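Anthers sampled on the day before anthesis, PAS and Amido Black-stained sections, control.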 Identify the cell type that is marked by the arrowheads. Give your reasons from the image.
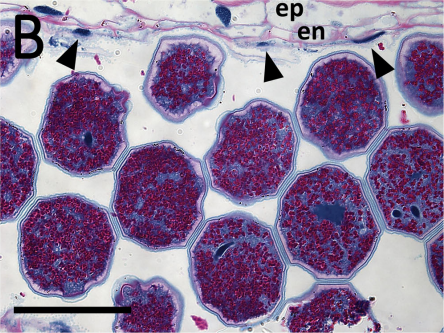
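Thin, flattened dark blue cells lie along the inner face of the anther wall. They are directly adjacent to the grain-filled locule.
Tapetal cell.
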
